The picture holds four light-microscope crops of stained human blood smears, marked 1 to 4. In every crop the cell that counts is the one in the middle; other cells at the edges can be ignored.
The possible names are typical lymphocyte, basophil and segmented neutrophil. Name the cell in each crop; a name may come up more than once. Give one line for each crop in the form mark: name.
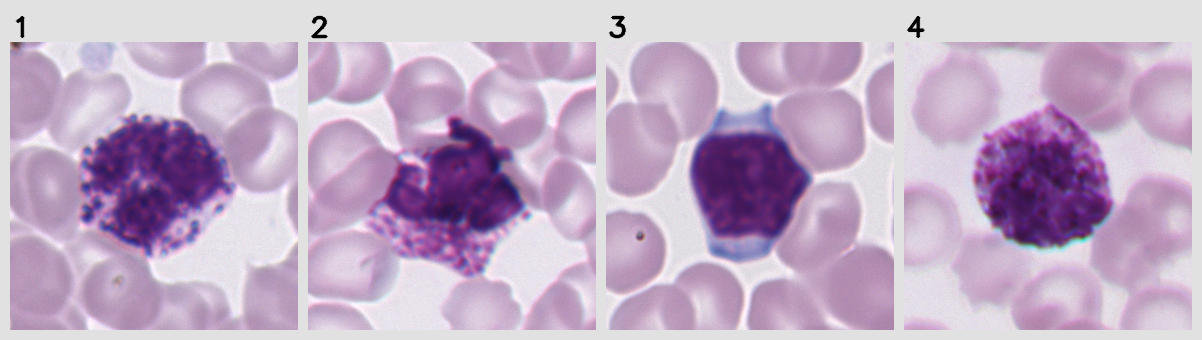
1: basophil
2: basophil
3: typical lymphocyte
4: basophil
